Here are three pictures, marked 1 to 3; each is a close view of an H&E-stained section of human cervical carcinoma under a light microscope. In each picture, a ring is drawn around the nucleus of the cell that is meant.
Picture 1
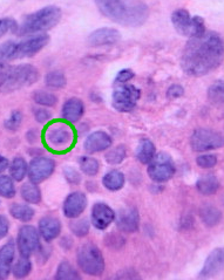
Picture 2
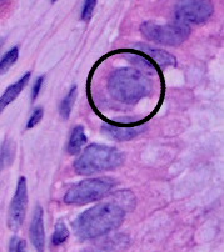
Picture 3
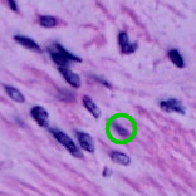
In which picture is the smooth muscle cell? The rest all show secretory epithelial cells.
3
